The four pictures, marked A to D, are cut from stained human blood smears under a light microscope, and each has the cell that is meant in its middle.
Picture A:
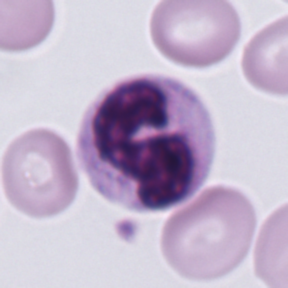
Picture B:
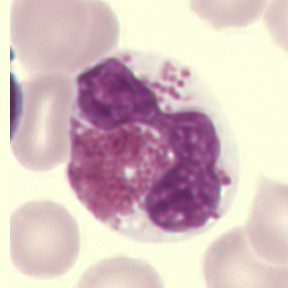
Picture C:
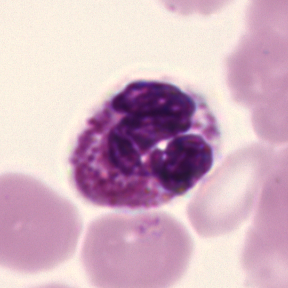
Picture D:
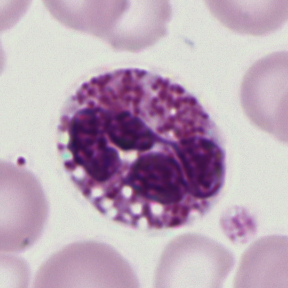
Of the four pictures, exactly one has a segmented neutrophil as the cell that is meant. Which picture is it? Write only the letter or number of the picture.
A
